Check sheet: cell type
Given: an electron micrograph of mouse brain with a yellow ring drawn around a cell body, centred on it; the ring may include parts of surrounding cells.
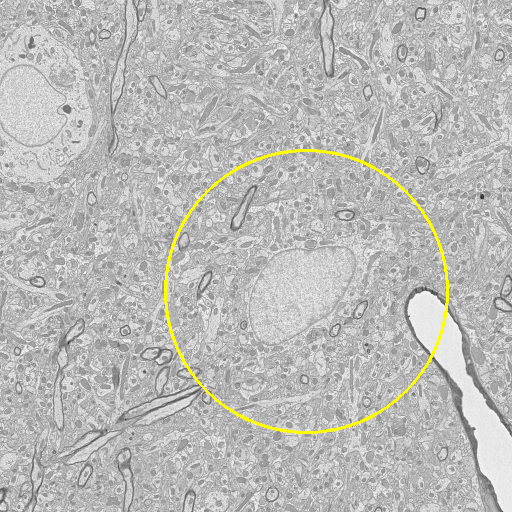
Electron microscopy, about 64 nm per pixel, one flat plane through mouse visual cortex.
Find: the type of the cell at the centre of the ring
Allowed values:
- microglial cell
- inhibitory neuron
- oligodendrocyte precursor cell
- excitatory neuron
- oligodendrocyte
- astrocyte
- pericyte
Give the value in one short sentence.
Here the ringed cell is an astrocyte.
